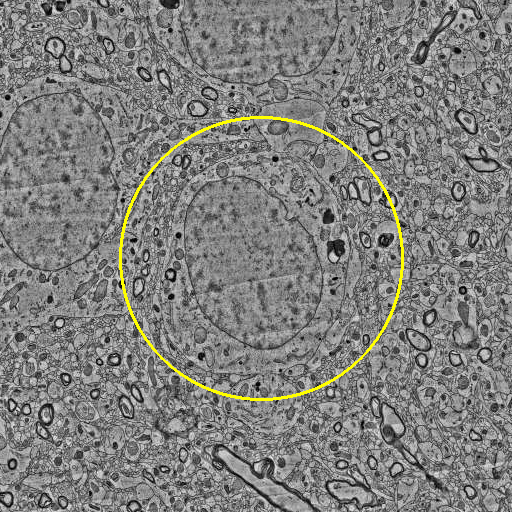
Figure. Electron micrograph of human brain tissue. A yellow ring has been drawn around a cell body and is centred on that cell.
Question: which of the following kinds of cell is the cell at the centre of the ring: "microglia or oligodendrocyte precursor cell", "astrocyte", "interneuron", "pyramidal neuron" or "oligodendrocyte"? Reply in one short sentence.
The cell at the centre of the ring is a pyramidal neuron.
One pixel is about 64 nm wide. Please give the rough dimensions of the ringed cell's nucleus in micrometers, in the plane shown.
Roughly 11 by 8 micrometres is the size of the nucleus in this plane.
